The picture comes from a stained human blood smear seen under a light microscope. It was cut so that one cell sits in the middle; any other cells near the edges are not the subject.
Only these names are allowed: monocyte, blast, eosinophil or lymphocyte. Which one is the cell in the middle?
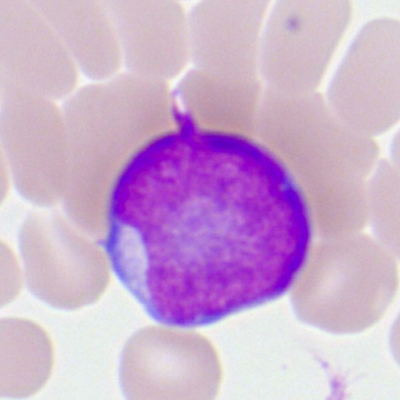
blast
